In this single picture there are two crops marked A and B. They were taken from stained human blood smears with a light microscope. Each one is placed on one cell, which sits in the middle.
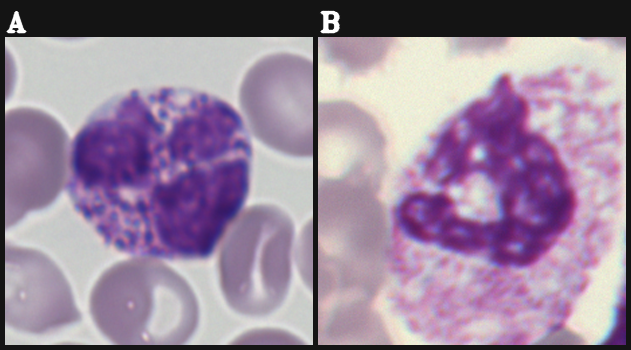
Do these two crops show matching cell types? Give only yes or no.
no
